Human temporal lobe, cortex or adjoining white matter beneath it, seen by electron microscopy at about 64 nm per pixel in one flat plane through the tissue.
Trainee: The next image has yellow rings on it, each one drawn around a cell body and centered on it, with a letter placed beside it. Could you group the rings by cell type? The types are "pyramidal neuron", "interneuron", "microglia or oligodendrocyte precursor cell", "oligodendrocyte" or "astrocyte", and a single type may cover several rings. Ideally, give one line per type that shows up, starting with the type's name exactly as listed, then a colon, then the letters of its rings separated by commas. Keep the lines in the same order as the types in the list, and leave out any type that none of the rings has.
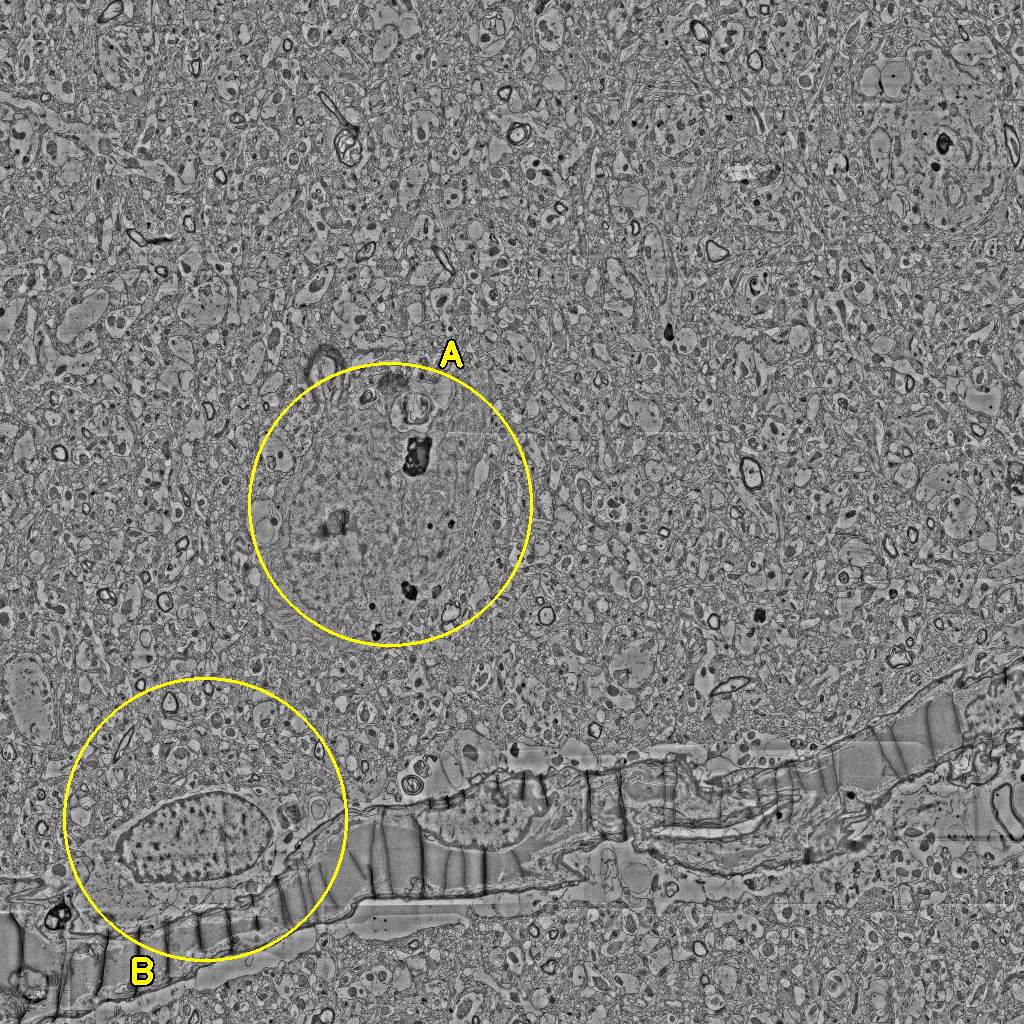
interneuron: A
microglia or oligodendrocyte precursor cell: B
